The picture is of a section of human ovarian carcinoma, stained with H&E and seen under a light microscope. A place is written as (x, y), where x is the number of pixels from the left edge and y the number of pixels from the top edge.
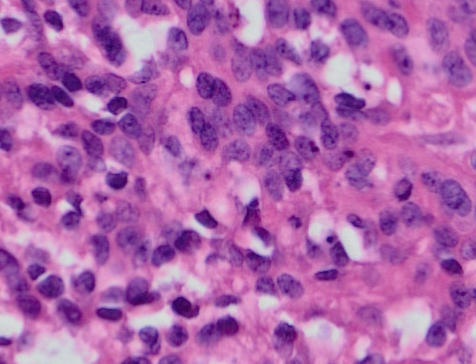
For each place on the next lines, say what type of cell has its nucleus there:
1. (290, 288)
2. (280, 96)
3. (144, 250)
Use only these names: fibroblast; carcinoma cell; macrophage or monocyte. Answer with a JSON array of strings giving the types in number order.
["macrophage or monocyte", "carcinoma cell", "carcinoma cell"]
